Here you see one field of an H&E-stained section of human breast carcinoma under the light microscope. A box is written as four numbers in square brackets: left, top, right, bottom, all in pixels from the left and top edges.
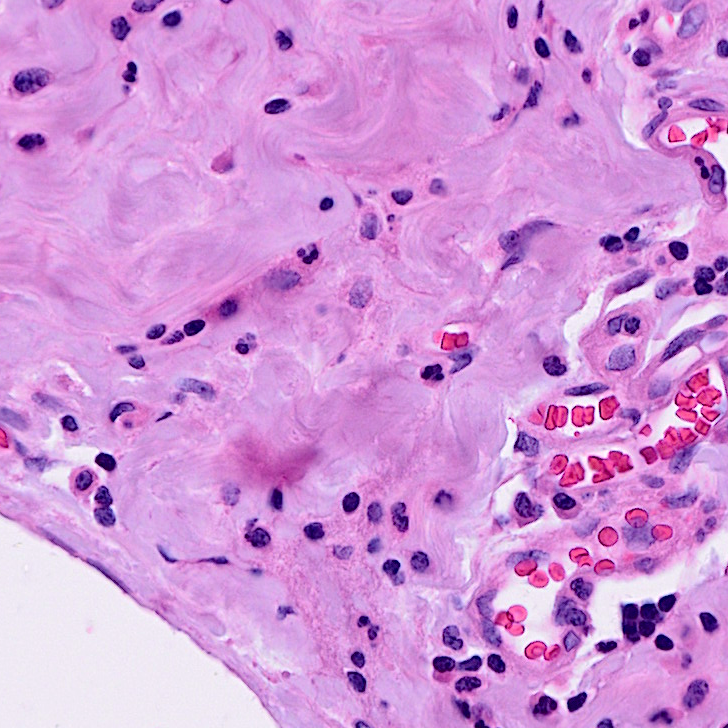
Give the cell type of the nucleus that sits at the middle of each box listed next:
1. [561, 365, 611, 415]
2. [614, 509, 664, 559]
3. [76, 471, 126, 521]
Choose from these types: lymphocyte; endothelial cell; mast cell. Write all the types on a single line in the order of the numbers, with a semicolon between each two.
endothelial cell; endothelial cell; lymphocyte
